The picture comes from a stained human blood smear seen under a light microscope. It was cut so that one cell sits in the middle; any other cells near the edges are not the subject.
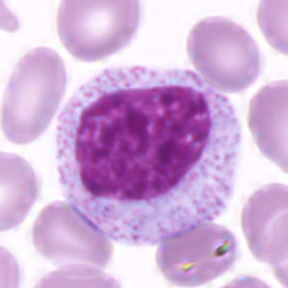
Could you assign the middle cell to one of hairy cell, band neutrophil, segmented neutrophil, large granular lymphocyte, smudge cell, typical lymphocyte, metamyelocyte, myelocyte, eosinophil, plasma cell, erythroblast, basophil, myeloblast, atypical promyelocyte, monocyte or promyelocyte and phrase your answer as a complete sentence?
The centrally positioned cell in the crop represents a metamyelocyte.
